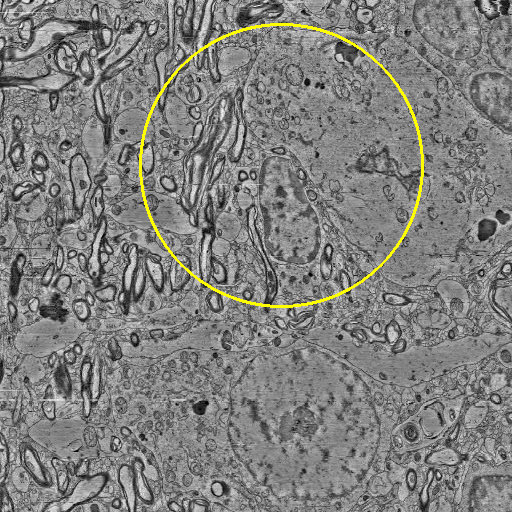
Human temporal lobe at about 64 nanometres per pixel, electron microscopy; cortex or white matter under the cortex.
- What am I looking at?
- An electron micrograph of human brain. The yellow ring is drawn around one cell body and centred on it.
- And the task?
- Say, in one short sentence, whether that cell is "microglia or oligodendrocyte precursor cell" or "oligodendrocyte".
The cell in the middle of the ring is a microglial cell or oligodendrocyte precursor cell.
